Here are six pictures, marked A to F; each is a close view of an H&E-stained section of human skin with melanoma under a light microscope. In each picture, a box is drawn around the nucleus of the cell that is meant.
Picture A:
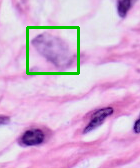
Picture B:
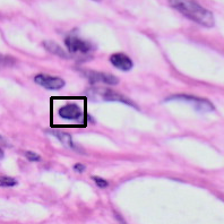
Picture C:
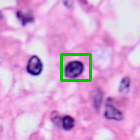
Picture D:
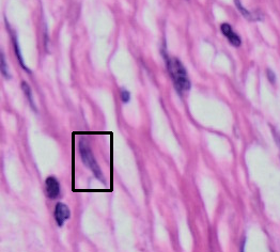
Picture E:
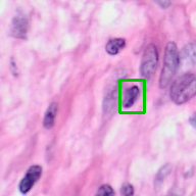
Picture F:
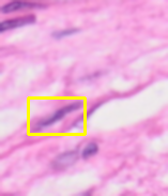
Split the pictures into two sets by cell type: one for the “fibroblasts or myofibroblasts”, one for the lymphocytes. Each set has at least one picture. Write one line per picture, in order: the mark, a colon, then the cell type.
A: fibroblast or myofibroblast
B: lymphocyte
C: lymphocyte
D: fibroblast or myofibroblast
E: lymphocyte
F: fibroblast or myofibroblast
